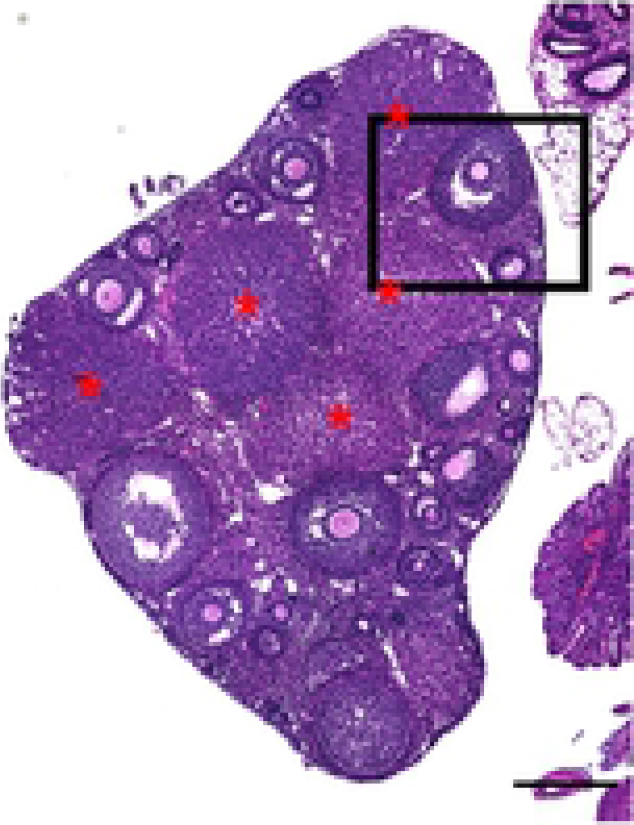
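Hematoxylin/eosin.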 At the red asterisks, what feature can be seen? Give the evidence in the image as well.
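Several rounded solid cell masses are marked by red asterisks. The marked masses have no antral cavity or oocyte. They stain a paler mauve than the purple follicle walls around them. That points to this answer: corpus luteum.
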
